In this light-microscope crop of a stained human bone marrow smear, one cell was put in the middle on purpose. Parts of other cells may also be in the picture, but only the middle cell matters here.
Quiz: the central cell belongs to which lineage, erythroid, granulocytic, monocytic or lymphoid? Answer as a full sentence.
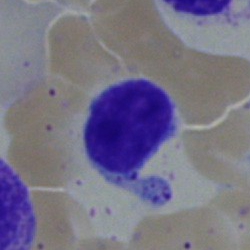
In terms of lineage, the cell in the middle is lymphoid.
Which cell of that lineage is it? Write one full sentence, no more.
The cell nearest the centre of this crop is a lymphocyte.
